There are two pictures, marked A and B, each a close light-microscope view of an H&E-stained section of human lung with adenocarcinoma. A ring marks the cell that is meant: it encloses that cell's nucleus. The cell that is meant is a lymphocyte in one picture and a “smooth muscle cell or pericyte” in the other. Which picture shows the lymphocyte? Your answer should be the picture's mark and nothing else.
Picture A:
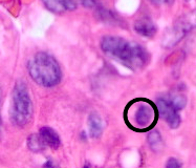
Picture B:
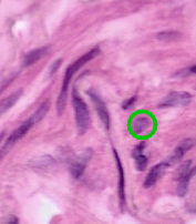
A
